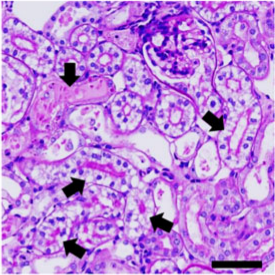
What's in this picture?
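This is kidney cortex with a glomerulus at the top and injured renal tubules around it. Many tubules are dilated, and their epithelial cells are pale, swollen and vacuolated, with the magenta luminal layer reduced or lost in places. Some tubules have a thinned or broken epithelial lining, and detached cells and pink material fill parts of their lumens. Nuclei in the injured epithelium are unevenly spaced, and some cells appear to have lost their nuclei. Compared with normal cortex, the tubules are less tightly packed and their outlines are irregular.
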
